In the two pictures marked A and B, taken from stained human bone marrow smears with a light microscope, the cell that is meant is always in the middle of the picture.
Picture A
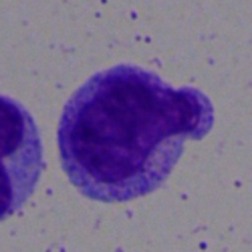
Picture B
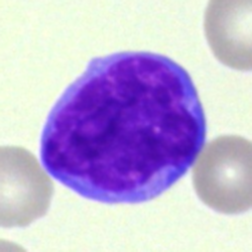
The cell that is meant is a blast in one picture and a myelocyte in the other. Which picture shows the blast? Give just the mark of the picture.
B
